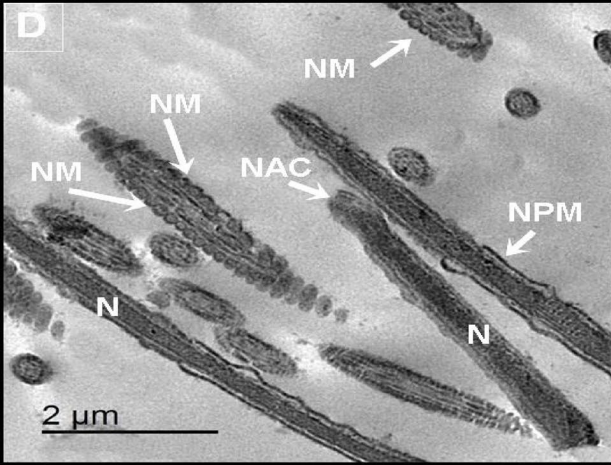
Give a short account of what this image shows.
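Longitudinal sections of sperm heads with elongated, uniformly electron-dense nuclei. The acrosome forms a smooth, continuous cap over the front of the head. Beside the heads, longitudinal sections of midpieces show mitochondria stacked in a regular, closely packed row along the tail. Scattered round cross sections of flagella lie in between.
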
